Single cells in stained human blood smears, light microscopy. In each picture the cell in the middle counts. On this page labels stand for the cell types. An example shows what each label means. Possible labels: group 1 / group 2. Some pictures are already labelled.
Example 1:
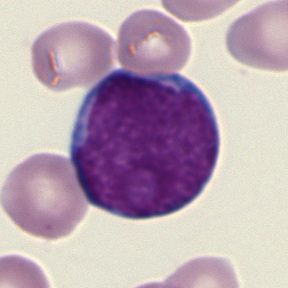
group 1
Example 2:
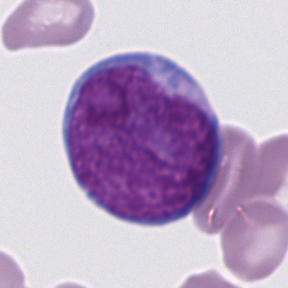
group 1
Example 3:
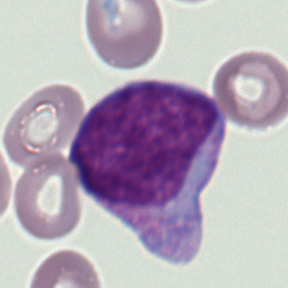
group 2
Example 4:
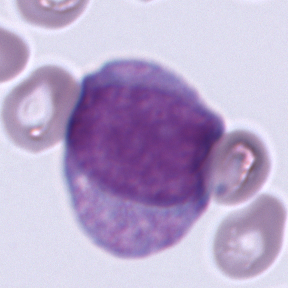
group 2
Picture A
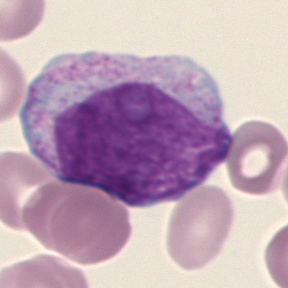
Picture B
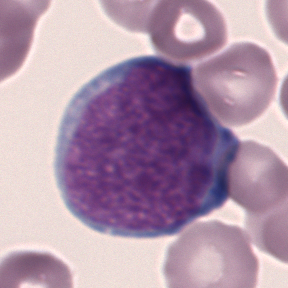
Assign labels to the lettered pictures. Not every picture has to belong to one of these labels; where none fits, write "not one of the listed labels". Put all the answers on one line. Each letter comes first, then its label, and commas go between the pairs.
A group 2, B group 1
